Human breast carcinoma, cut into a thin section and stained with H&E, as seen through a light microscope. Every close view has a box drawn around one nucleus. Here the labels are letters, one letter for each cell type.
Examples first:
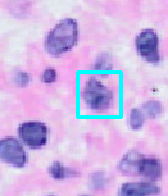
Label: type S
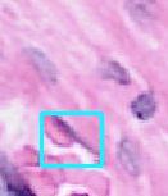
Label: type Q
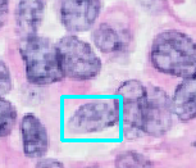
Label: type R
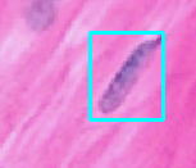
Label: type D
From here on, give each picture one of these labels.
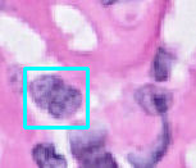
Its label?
type R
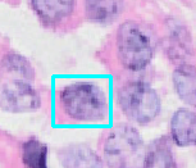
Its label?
type R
